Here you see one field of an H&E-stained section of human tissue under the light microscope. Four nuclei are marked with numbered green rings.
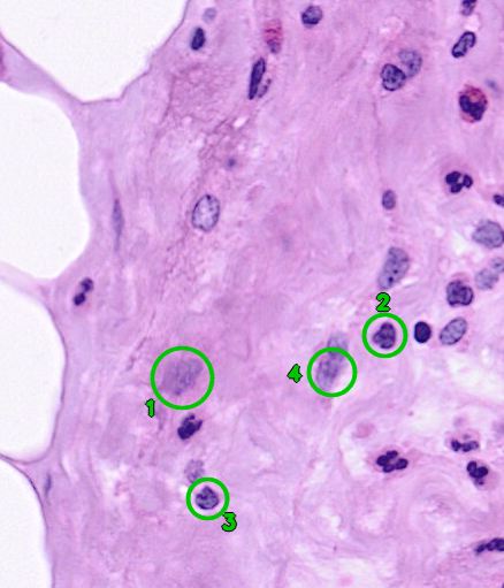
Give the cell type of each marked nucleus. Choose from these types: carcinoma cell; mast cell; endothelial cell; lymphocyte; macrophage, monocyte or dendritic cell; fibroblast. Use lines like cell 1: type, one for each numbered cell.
cell 1: fibroblast
cell 2: lymphocyte
cell 3: lymphocyte
cell 4: fibroblast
